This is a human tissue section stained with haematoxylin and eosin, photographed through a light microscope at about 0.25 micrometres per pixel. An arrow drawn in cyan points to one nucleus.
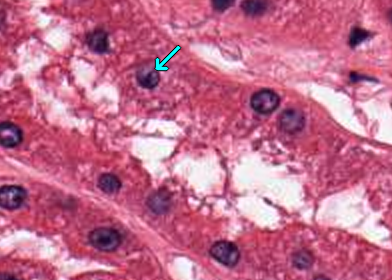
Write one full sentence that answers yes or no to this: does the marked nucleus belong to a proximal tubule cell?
Yes, a proximal tubule cell is what the marked nucleus belongs to.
